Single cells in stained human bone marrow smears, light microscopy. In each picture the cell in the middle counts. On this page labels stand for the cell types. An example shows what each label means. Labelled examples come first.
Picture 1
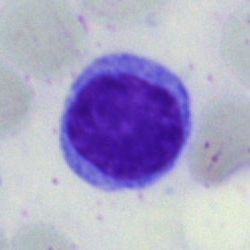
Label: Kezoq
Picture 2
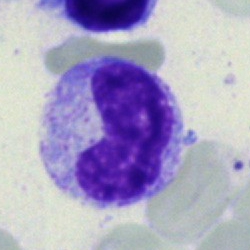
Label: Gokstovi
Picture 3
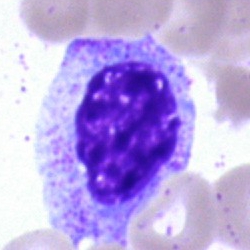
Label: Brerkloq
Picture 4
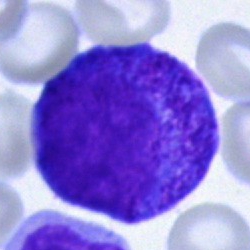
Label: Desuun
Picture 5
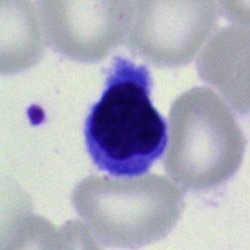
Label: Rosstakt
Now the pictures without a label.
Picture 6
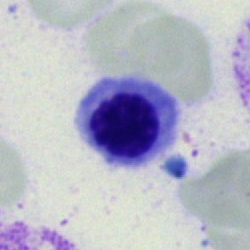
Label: Rosstakt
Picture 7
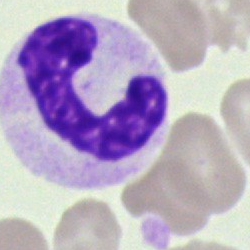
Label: Gokstovi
